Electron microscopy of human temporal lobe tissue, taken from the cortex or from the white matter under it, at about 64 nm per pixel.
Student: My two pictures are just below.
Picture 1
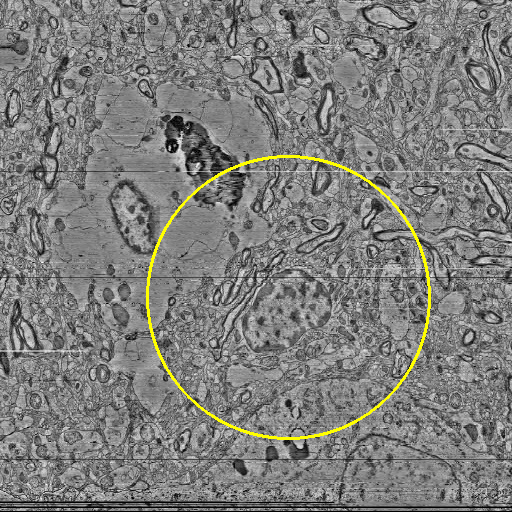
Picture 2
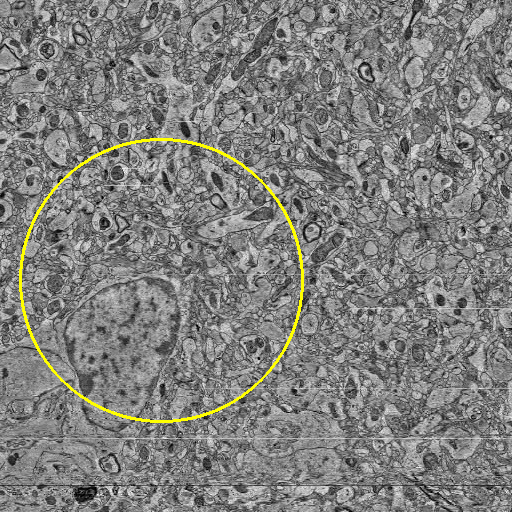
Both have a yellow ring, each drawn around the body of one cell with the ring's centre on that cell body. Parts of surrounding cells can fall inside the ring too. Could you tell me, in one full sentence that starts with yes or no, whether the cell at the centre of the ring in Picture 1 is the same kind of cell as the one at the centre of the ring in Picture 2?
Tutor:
Yes, the two cells are of the same kind.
